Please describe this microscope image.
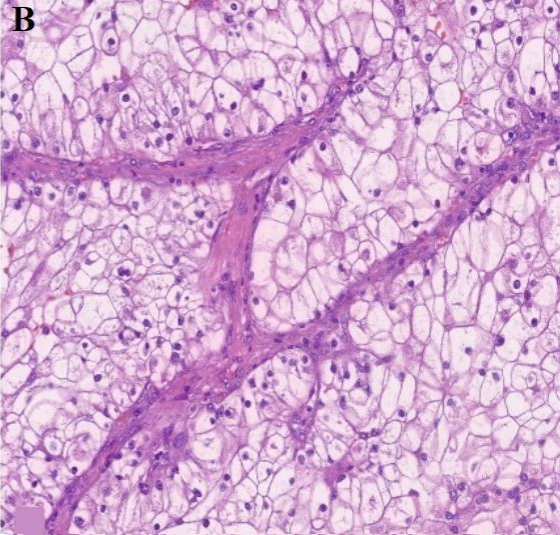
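The lesion is a sheet of neoplastic cells with broad, clear to whitish cytoplasm and sharp, thin cell borders. Thin, branching pink fibrovascular septa with elongated nuclei run between them and partly divide the cells into compartments.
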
